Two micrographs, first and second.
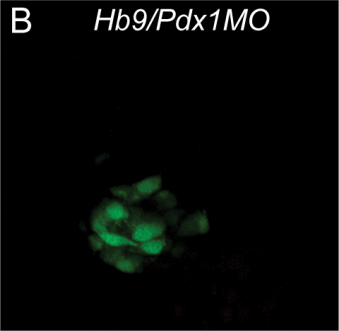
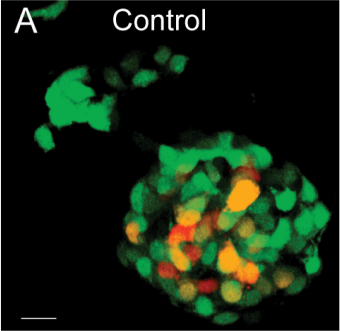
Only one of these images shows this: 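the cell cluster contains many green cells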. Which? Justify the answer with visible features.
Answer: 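First image: a small, sparse group of dim green cells with almost no red. Second image: a large, dense round cluster of many bright green cells, some red or yellow. That points to this answer: the second image.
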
